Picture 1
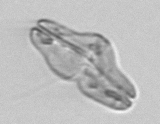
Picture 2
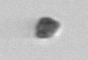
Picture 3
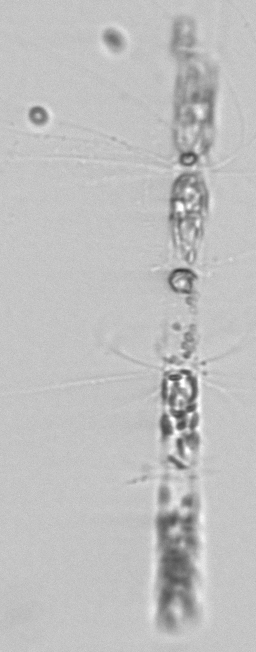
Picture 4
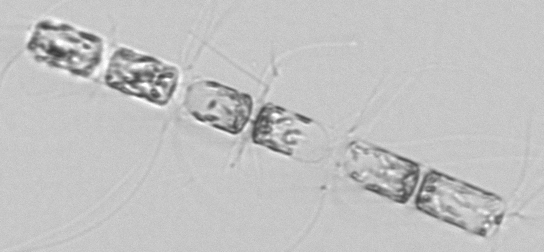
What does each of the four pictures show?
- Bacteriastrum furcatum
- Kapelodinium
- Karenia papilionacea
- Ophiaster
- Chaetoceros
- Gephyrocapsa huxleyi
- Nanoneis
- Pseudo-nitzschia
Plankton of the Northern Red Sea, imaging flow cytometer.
Picture 1: Karenia papilionacea
Picture 2: Gephyrocapsa huxleyi
Picture 3: Bacteriastrum furcatum
Picture 4: Bacteriastrum furcatum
